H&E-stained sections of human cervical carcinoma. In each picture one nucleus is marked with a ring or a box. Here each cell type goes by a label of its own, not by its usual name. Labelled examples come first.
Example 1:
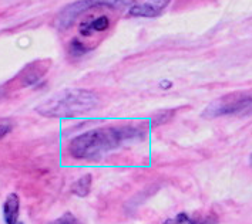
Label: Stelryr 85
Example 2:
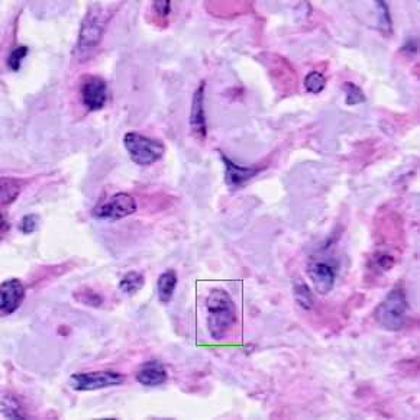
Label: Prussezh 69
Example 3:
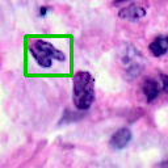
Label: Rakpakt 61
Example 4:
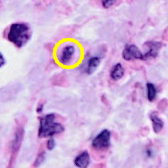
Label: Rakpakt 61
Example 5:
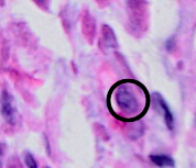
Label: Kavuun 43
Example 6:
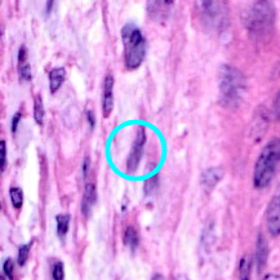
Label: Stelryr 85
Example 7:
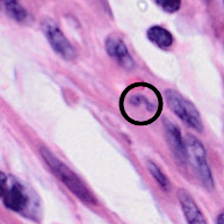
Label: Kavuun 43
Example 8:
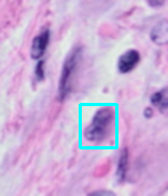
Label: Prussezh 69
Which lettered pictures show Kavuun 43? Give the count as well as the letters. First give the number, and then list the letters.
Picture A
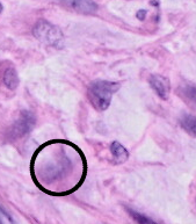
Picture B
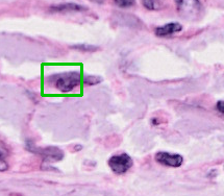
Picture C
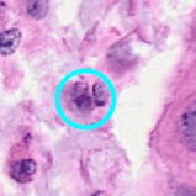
0, none of them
